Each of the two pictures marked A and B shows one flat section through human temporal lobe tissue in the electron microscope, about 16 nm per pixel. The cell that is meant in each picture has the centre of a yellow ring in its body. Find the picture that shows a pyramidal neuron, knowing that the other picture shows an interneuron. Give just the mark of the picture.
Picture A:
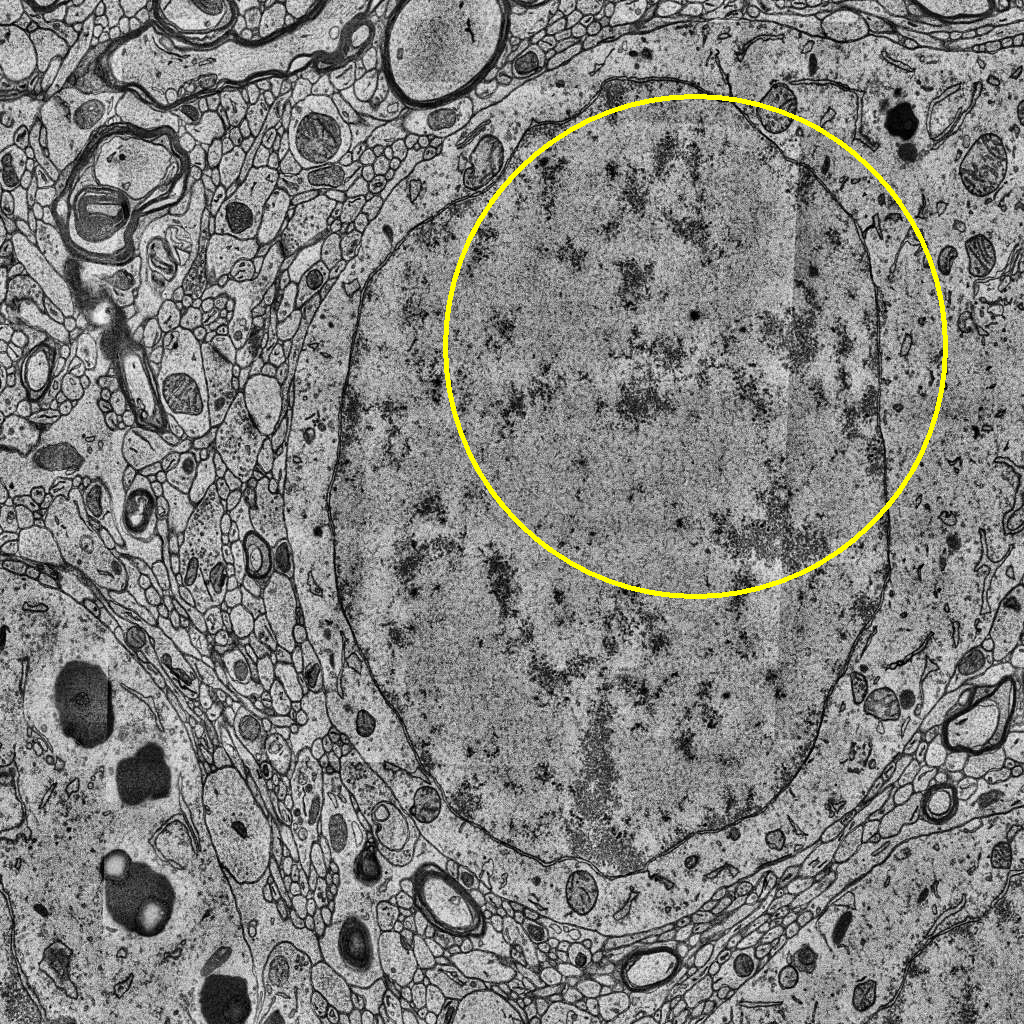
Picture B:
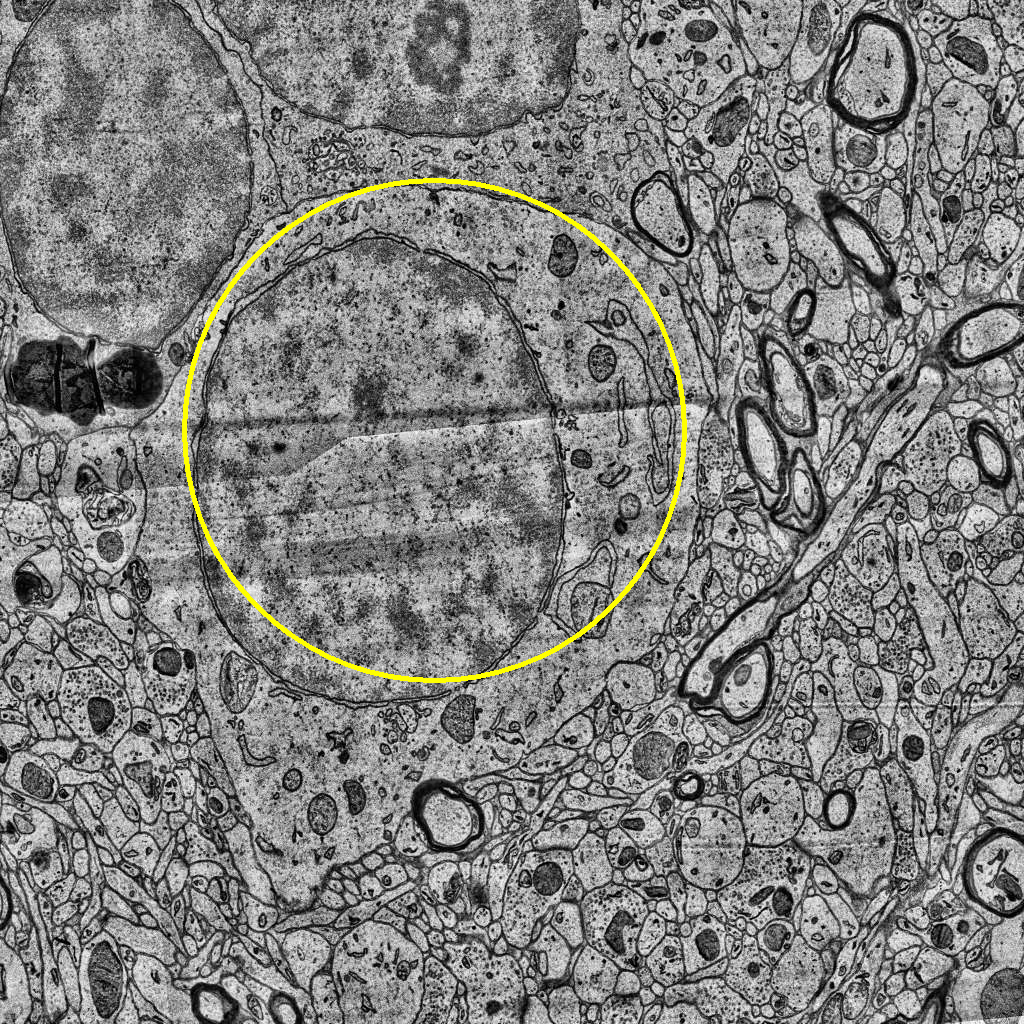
A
